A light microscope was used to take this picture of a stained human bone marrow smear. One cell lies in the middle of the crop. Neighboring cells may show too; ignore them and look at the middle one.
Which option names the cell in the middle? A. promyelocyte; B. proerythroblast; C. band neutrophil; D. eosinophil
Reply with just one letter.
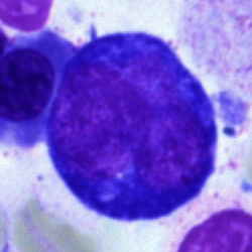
B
